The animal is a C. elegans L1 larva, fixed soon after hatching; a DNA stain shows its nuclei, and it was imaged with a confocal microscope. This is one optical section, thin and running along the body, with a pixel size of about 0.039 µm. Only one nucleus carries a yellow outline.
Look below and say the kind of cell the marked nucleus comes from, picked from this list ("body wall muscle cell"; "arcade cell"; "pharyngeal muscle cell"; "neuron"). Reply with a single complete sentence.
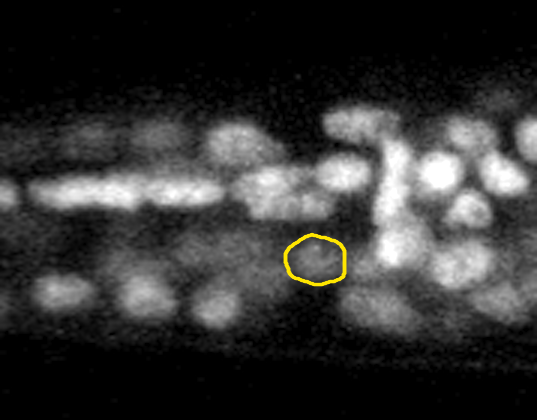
This nucleus is from an arcade cell.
